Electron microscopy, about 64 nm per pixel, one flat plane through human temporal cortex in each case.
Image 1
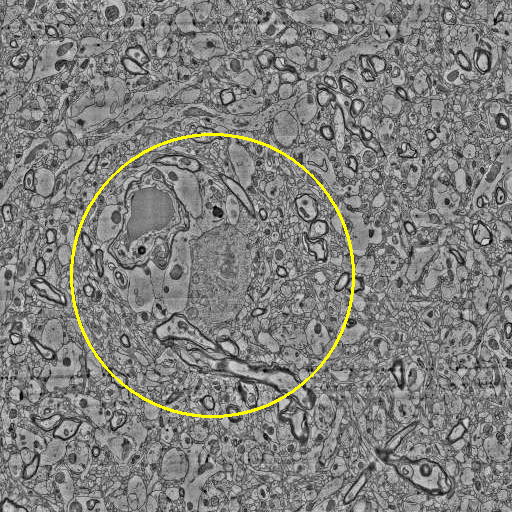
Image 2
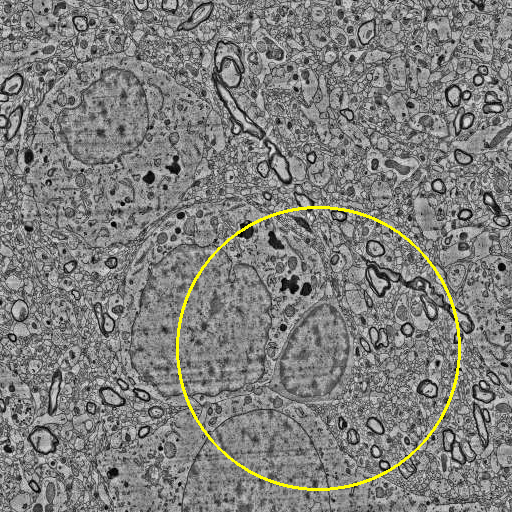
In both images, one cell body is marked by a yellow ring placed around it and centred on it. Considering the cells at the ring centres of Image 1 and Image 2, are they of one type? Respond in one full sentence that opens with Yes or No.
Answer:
Yes, a single type applies to the ring-centred cells of both Image 1 and Image 2.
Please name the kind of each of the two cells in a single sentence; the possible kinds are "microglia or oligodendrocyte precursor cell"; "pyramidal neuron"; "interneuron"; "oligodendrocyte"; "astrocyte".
The ring centre holds an oligodendrocyte in each of the two pictures.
